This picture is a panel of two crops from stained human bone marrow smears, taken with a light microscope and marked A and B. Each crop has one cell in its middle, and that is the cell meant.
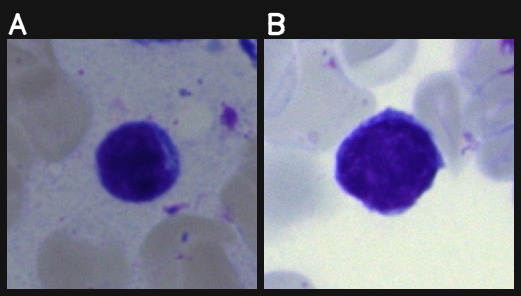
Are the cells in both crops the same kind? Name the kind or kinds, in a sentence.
Yes, in the middle of both crops lie lymphocytes.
